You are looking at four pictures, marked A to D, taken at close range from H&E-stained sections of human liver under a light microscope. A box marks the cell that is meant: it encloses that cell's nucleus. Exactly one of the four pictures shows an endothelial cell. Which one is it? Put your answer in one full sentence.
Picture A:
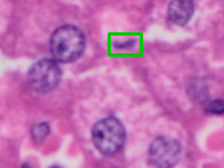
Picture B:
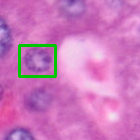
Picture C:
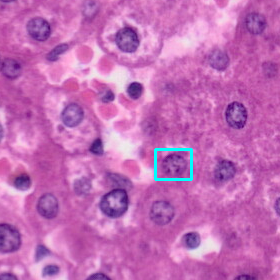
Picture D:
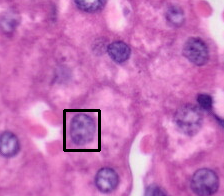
It is picture A that shows the endothelial cell.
